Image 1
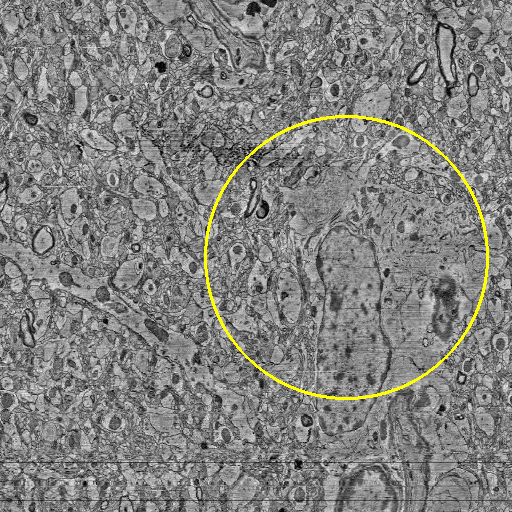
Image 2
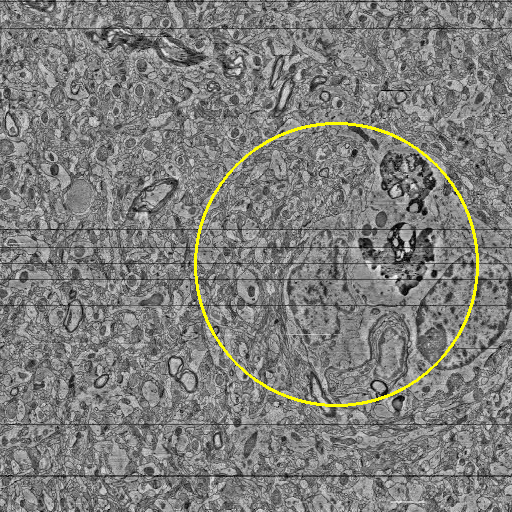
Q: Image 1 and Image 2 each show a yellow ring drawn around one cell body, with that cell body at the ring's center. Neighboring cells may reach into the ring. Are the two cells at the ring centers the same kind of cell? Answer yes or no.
yes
